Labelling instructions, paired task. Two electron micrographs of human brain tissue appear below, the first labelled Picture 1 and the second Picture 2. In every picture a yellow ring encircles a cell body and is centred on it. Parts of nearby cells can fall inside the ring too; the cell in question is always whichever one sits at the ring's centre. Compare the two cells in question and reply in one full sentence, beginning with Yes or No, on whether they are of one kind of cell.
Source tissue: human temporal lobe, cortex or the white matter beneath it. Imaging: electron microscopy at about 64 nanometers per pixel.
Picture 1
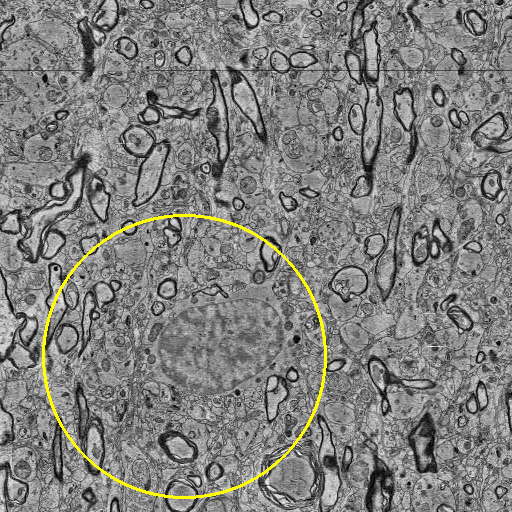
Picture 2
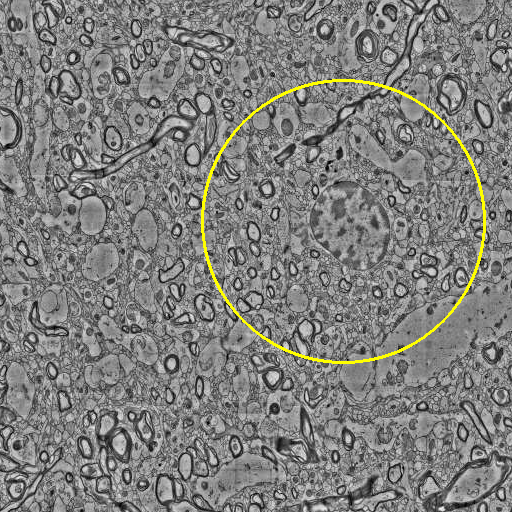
No, the two cells at the ring centres in Picture 1 and Picture 2 are of two kinds.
